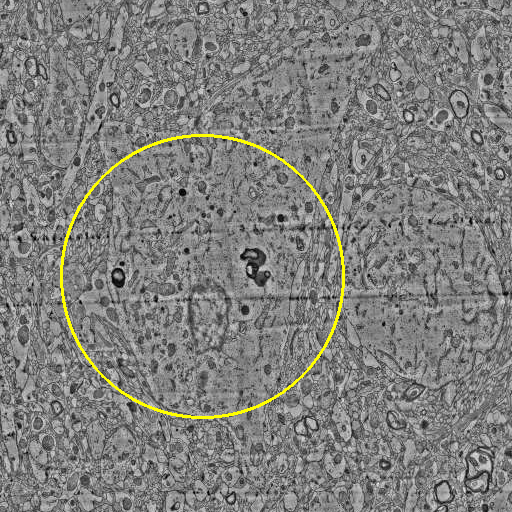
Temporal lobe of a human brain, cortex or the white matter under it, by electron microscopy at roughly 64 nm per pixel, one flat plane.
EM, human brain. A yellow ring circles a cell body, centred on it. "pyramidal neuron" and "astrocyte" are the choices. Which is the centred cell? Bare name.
pyramidal neuron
